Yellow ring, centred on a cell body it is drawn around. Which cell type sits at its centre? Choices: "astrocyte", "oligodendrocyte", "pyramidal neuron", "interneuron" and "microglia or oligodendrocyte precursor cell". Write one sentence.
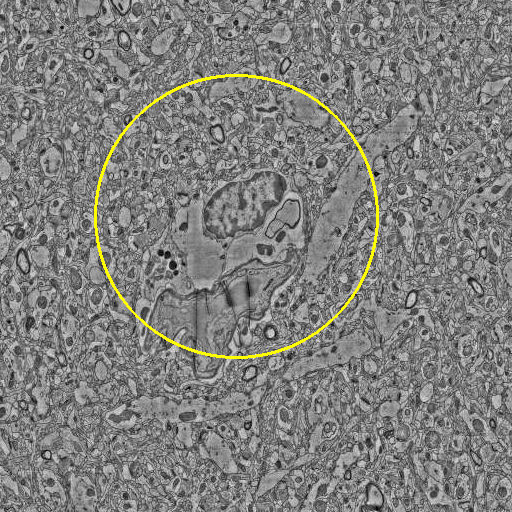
At the centre of the ring sits a microglial cell or oligodendrocyte precursor cell.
